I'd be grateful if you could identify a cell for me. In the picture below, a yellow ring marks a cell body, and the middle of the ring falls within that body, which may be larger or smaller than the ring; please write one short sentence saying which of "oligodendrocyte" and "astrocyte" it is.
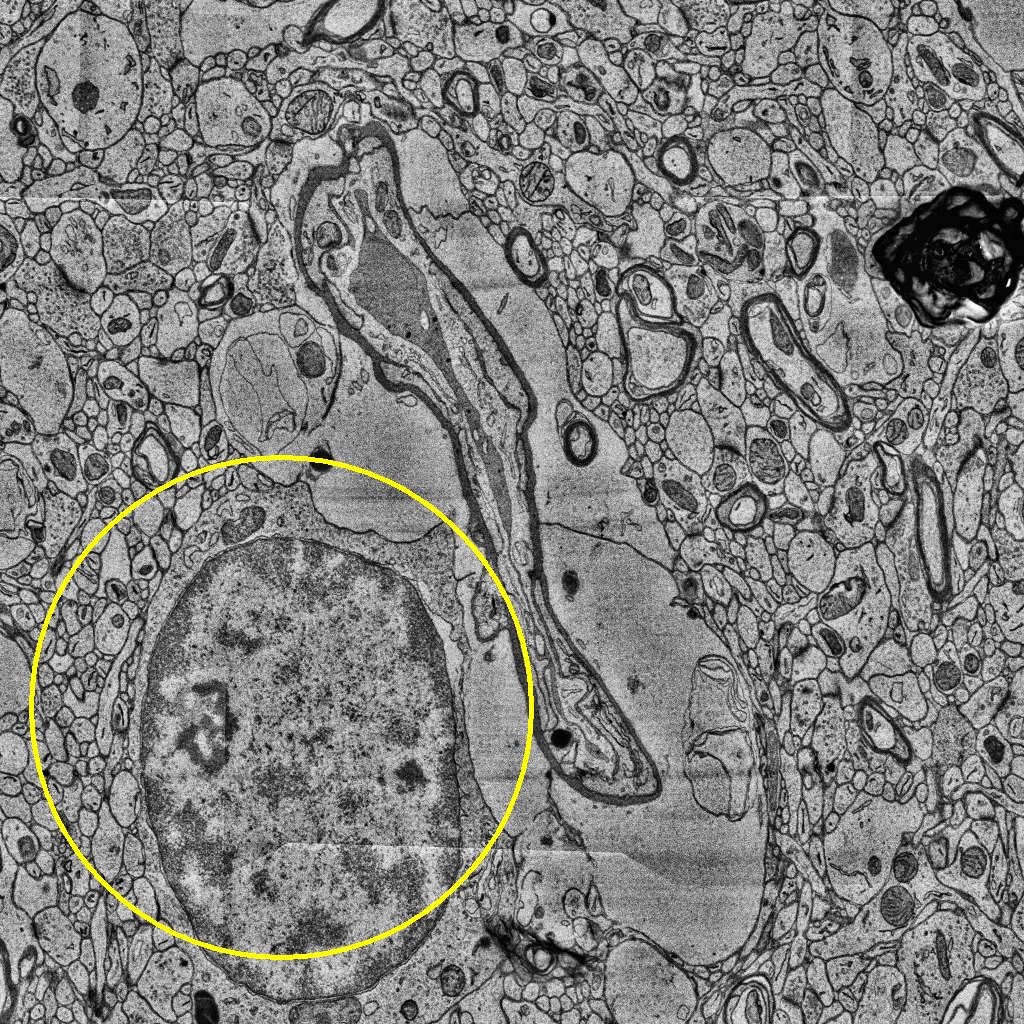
The cell under the ring's centre is an oligodendrocyte.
